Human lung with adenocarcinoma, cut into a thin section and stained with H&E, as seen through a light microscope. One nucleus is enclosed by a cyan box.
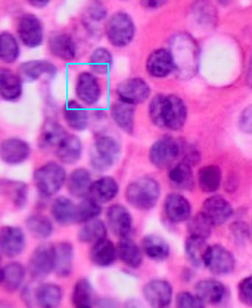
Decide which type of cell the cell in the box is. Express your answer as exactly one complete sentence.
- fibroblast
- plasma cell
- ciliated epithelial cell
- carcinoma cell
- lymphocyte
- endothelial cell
In the context of this tissue, the cell in the box is a lymphocyte.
